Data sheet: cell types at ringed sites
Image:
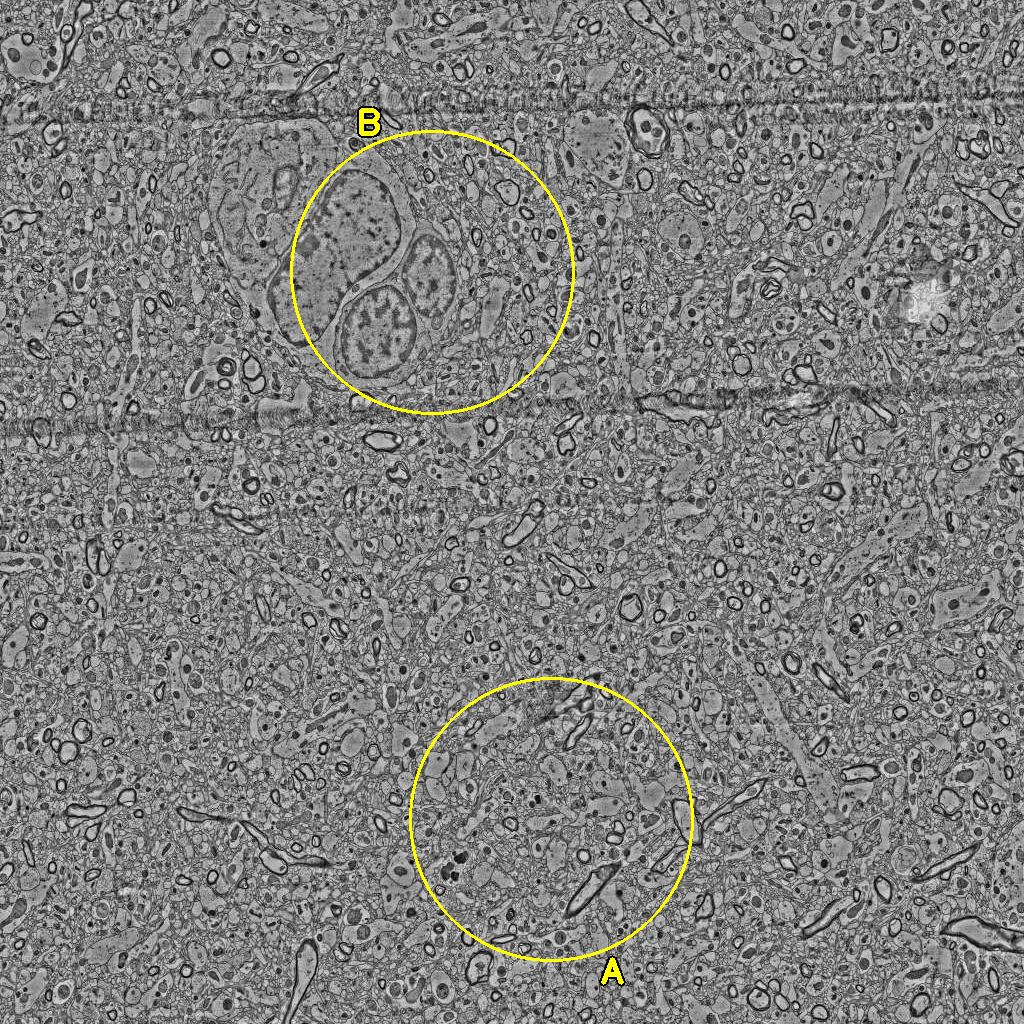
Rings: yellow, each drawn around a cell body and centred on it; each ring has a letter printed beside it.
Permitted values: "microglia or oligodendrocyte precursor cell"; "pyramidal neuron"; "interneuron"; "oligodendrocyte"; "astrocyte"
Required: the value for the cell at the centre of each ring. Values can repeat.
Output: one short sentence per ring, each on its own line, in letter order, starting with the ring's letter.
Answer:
Ring A has a microglial cell or oligodendrocyte precursor cell at its centre.
Ring B has an oligodendrocyte at its centre.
